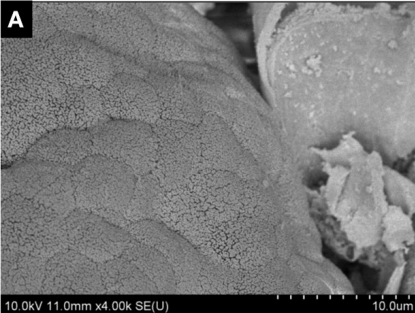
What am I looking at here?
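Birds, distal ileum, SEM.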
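The mucosal surface is smooth and finely textured, with outlines of individual cell apices visible as a polygonal pattern. Flakes of debris lie to one side, and no filaments are seen on the surface.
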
